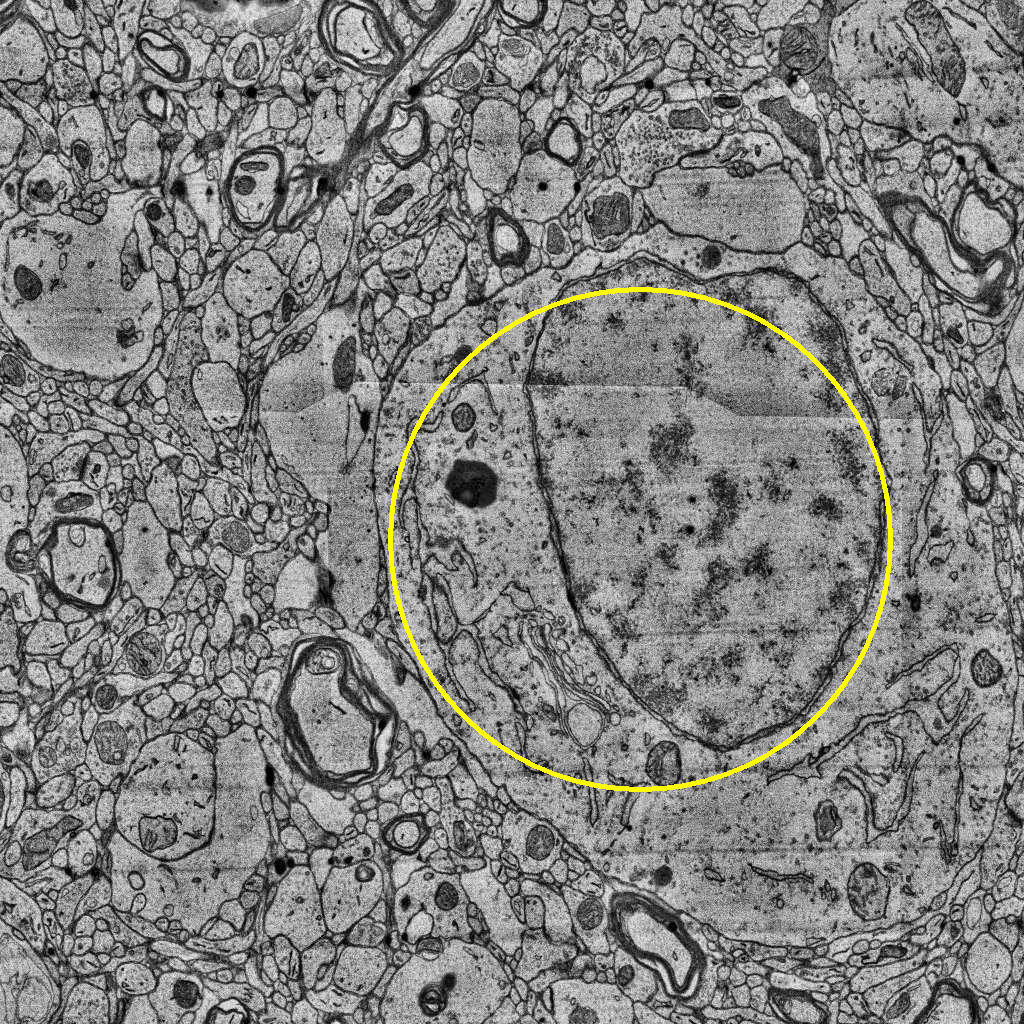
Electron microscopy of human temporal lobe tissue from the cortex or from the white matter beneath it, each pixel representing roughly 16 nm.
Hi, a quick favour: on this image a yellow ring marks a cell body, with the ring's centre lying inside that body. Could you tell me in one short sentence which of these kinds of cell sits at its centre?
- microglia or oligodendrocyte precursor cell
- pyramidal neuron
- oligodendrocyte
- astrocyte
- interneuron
The ring's centre lies in a pyramidal neuron.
